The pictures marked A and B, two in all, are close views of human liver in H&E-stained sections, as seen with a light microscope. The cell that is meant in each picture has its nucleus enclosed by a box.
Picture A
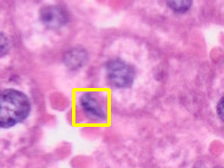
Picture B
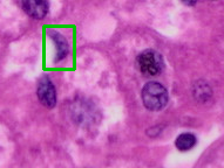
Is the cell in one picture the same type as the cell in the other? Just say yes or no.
yes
